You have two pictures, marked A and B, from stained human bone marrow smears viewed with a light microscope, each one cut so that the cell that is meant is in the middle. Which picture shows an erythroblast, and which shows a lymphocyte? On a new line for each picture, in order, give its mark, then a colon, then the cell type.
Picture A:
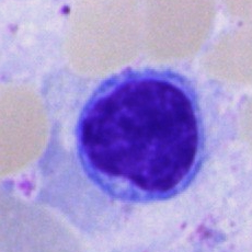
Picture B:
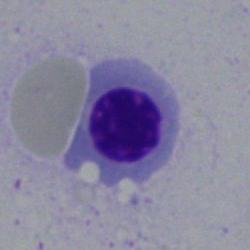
A: lymphocyte
B: erythroblast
